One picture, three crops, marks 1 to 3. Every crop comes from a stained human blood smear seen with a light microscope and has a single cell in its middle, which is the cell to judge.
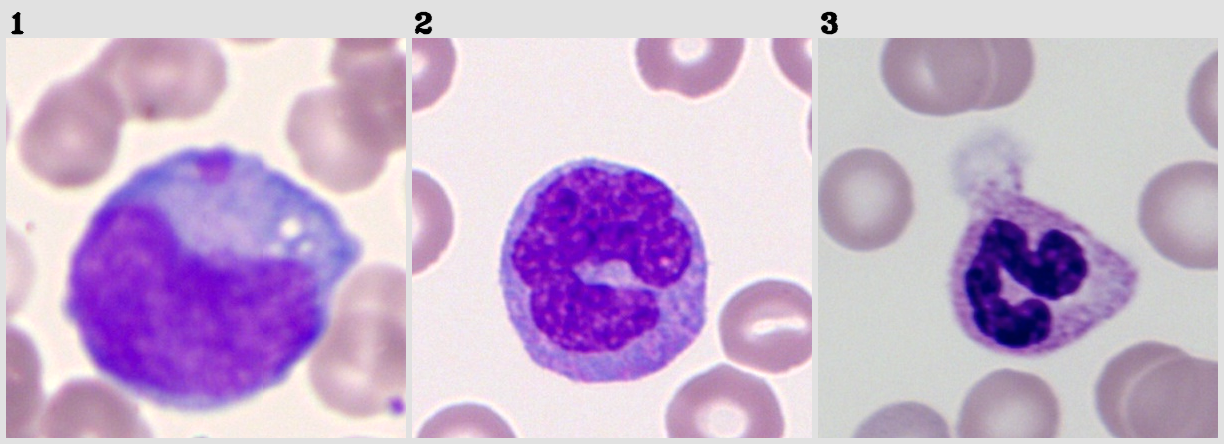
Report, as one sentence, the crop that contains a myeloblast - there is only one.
Crop 1 is the crop that shows a myeloblast in its middle.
